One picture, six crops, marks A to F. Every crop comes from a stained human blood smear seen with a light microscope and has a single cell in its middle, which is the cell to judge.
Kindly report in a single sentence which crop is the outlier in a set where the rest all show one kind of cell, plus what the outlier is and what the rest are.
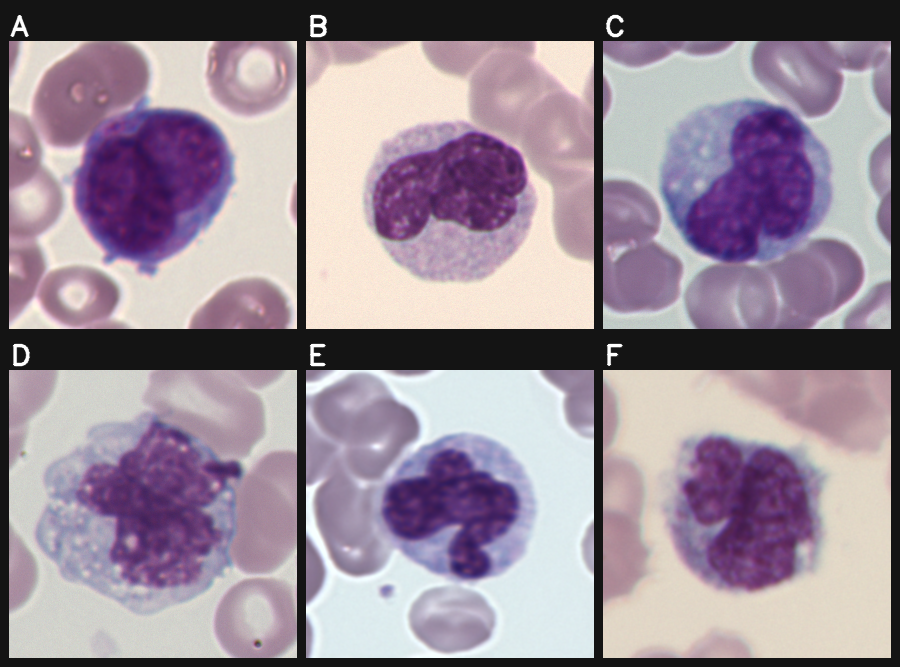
The single exception among the crops is crop A, which is an atypical promyelocyte; the rest show monocytes.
